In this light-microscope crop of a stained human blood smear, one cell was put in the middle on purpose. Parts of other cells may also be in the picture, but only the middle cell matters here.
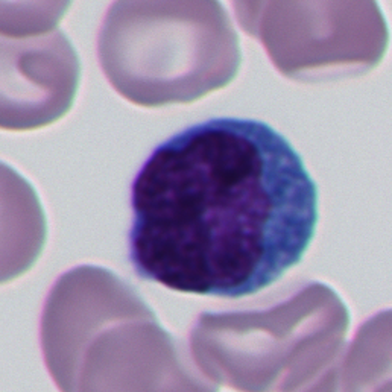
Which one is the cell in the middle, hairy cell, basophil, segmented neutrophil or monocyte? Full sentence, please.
The cell centred in this crop is categorized as a monocyte.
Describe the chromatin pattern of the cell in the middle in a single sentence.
If you check the nucleus, you will find the chromatin coarsely clumped.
